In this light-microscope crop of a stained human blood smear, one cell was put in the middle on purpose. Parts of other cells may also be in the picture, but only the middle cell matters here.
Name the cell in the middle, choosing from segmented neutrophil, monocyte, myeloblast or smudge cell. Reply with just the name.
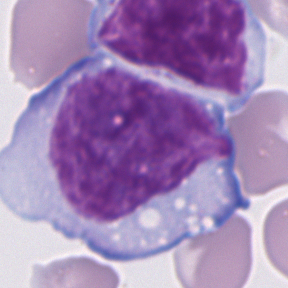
myeloblast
